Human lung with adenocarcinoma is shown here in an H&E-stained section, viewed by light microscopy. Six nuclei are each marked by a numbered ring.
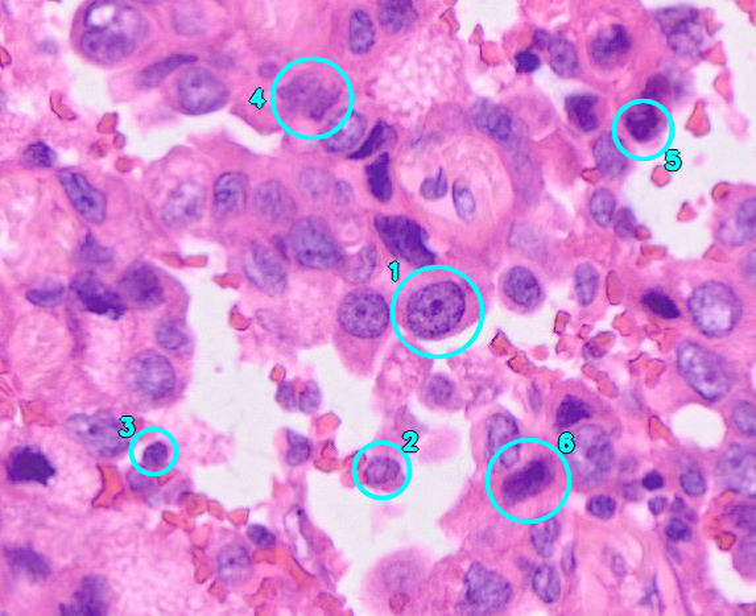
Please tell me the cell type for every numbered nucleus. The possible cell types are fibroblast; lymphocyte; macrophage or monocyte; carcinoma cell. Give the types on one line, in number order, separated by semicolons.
carcinoma cell; macrophage or monocyte; lymphocyte; carcinoma cell; carcinoma cell; carcinoma cell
